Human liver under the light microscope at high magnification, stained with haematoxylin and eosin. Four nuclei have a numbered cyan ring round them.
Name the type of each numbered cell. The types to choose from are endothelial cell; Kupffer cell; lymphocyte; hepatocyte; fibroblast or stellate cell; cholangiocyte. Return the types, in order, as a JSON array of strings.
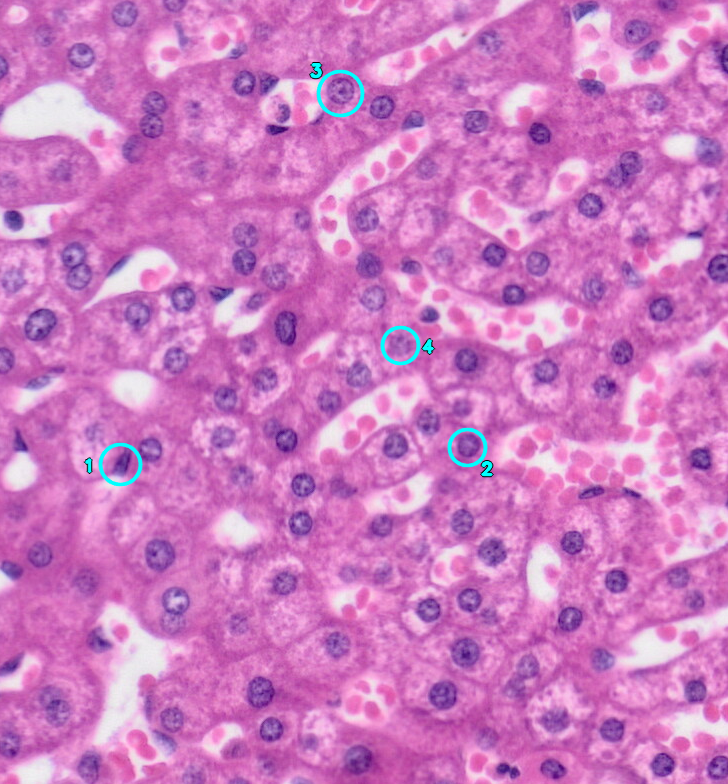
["fibroblast or stellate cell", "hepatocyte", "hepatocyte", "hepatocyte"]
